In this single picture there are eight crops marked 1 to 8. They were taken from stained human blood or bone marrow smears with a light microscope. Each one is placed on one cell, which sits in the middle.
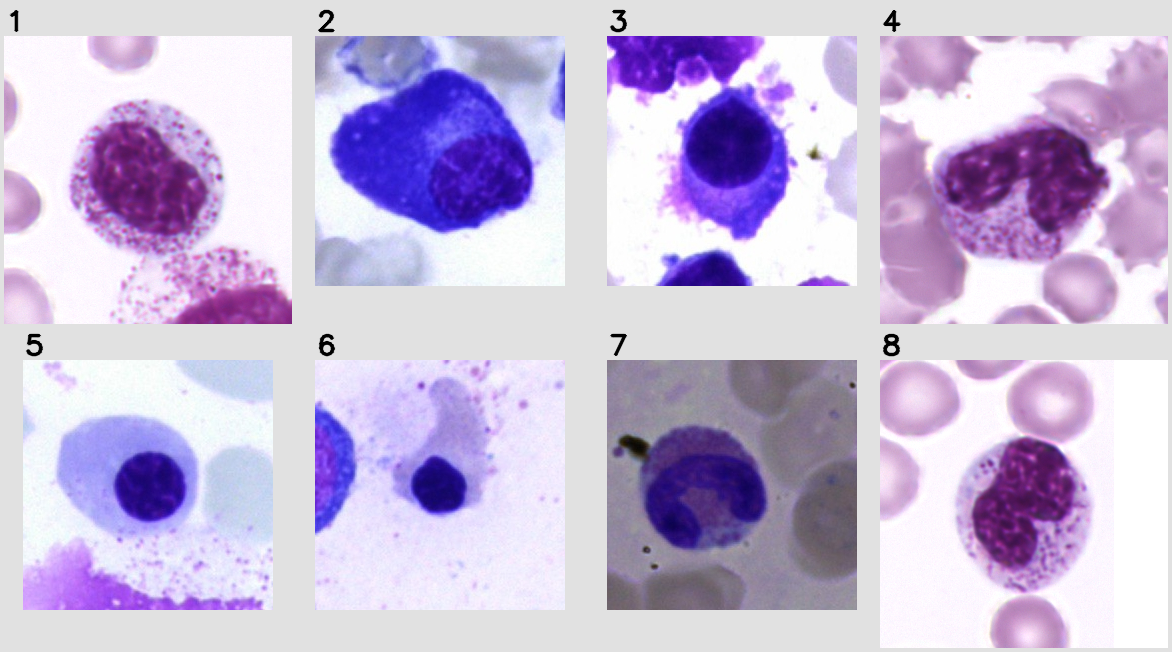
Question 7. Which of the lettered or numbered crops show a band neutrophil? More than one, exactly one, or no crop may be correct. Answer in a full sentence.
The central cells found in crops 4 and 8 are band neutrophils.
